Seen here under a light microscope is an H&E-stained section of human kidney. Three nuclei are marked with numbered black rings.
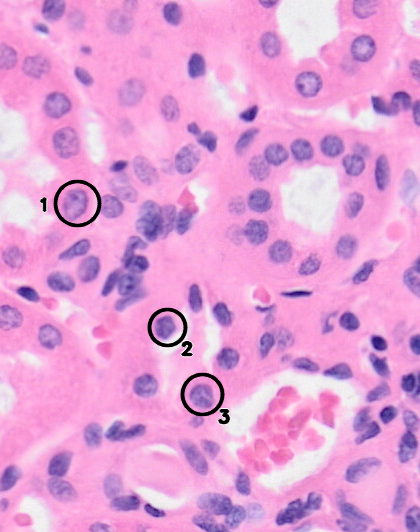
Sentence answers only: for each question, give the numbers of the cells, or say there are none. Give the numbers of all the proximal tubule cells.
Cell 1 is a proximal tubule cell and is the only numbered cell of that kind.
